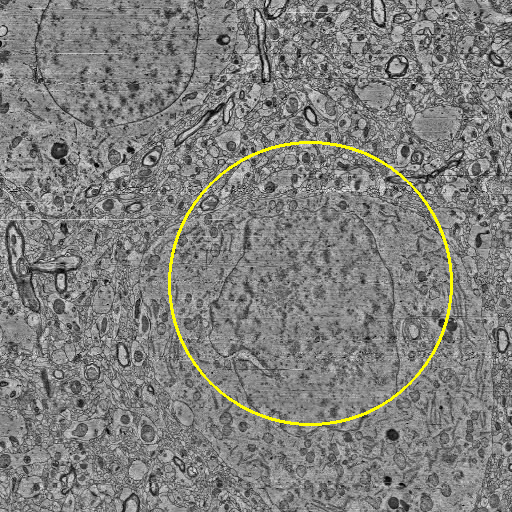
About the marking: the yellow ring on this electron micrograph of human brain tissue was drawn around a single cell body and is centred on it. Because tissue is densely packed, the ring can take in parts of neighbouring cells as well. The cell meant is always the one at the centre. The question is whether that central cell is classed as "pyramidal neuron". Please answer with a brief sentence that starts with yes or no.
No, the central cell belongs to another class.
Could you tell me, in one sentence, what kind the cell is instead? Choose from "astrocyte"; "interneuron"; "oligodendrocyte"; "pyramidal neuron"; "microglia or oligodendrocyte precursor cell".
Instead, the cell inside the ring is an interneuron.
